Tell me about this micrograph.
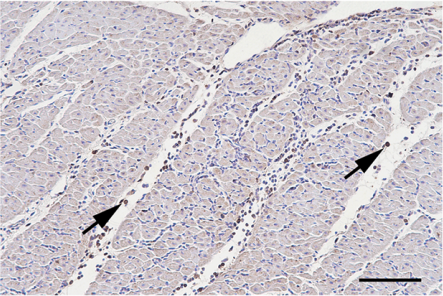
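Heart muscle in section with pale muscle fibers and scattered blue nuclei, among which lie many small brown-stained cells. The brown cells are small and round and gather in clusters in the spaces between fibers and along the edges of the tissue clefts.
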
